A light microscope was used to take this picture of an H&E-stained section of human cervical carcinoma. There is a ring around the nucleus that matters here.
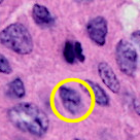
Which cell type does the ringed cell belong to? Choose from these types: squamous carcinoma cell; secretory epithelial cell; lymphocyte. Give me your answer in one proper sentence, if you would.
To be brief about it, the ringed cell is a squamous carcinoma cell.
